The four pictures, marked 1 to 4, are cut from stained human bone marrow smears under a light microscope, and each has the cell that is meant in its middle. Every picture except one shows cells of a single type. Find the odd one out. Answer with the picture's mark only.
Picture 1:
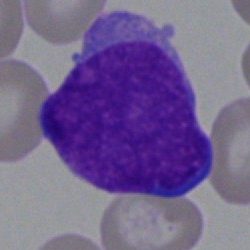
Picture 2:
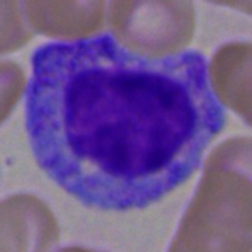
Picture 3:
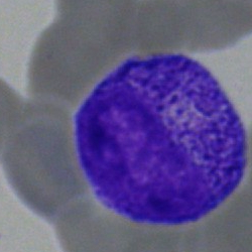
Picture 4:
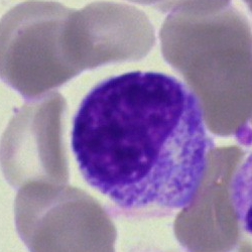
1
